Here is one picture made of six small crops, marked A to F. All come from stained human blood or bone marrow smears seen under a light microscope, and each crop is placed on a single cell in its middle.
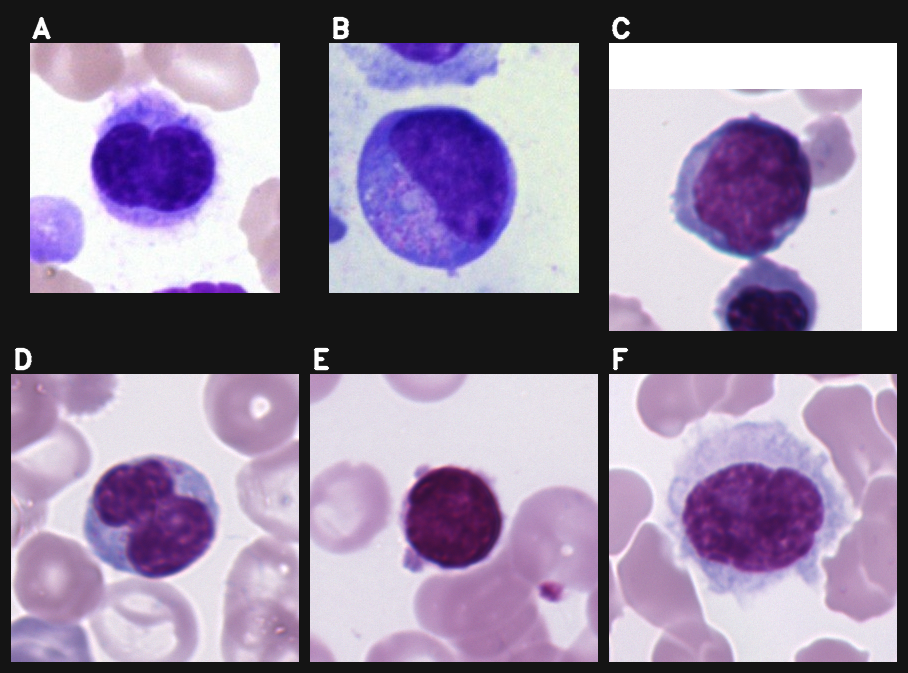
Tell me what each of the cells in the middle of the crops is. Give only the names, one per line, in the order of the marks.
hairy cell
blast
blast
lymphocyte
lymphocyte
hairy cell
